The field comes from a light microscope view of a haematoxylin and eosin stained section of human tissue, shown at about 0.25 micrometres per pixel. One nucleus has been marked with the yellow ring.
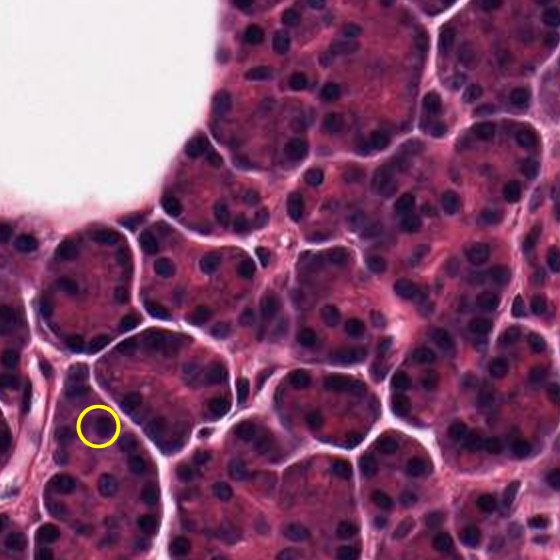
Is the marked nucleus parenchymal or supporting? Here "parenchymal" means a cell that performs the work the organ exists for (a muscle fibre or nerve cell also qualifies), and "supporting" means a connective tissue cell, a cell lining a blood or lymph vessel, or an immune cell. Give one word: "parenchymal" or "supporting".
parenchymal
